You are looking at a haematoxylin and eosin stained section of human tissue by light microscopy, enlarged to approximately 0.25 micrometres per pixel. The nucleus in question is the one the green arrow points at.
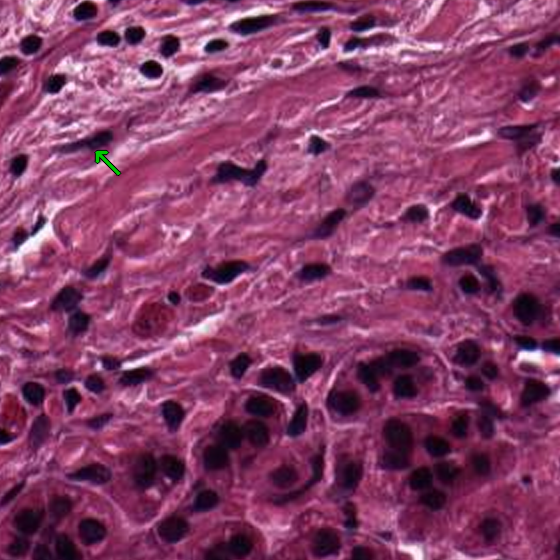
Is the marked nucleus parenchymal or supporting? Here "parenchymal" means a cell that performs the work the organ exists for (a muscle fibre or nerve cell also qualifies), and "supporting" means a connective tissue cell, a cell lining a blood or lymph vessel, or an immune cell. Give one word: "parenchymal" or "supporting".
supporting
